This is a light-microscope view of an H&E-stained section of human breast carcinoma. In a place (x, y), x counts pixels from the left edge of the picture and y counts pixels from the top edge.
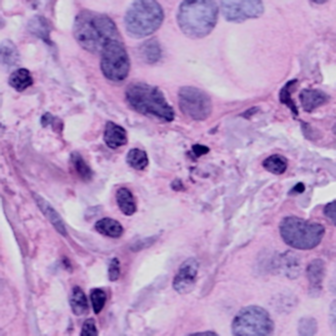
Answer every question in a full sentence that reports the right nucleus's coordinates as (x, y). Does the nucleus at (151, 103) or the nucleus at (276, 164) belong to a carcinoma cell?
Of these two nuclei, it is the one at (151, 103) that belongs to a carcinoma cell.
